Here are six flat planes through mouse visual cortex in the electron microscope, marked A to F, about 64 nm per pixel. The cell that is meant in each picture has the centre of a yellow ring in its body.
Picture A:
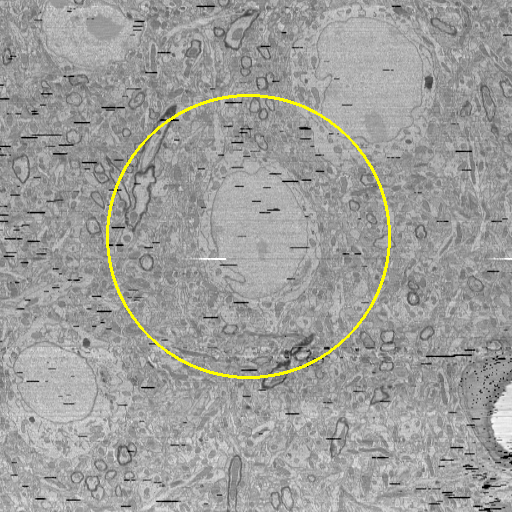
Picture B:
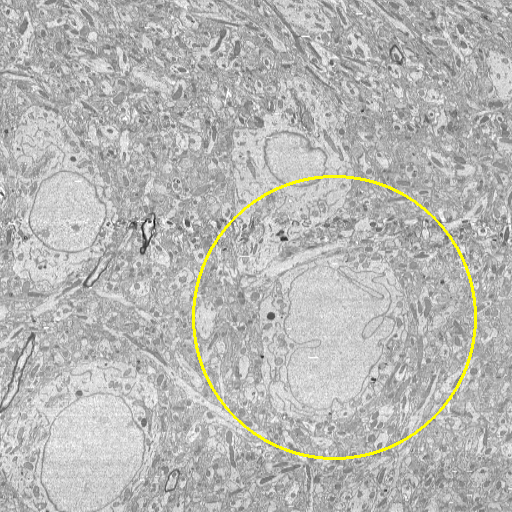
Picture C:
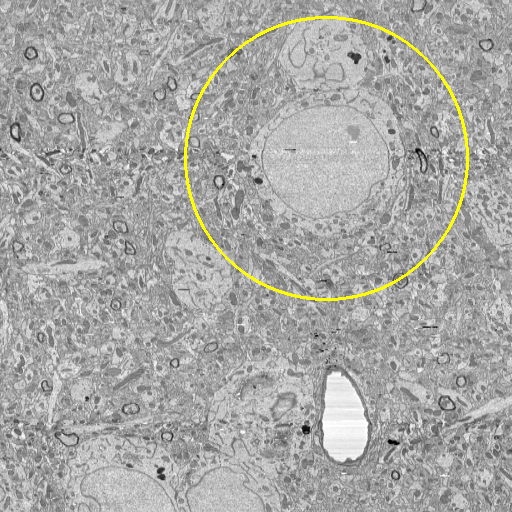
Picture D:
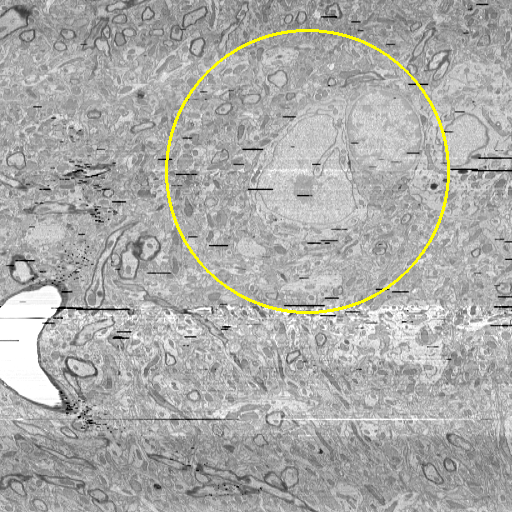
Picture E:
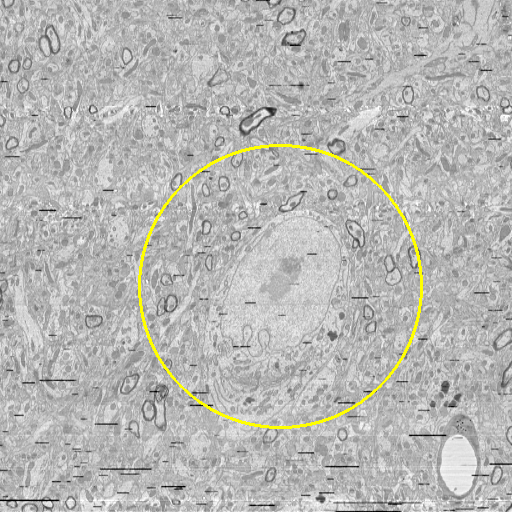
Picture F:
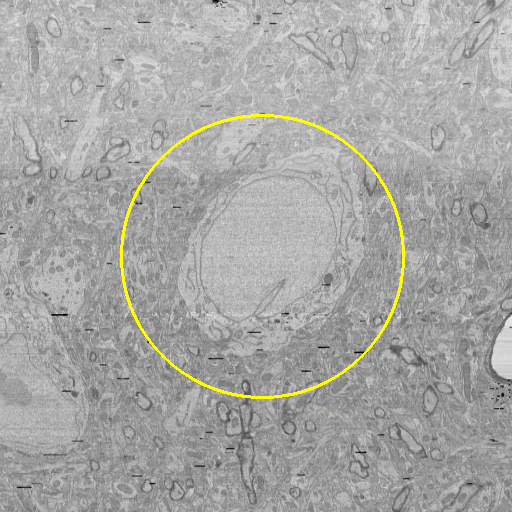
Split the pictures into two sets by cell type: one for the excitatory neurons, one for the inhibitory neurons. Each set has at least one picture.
Pictures A and C show excitatory neurons, while pictures B, D, E and F show inhibitory neurons.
